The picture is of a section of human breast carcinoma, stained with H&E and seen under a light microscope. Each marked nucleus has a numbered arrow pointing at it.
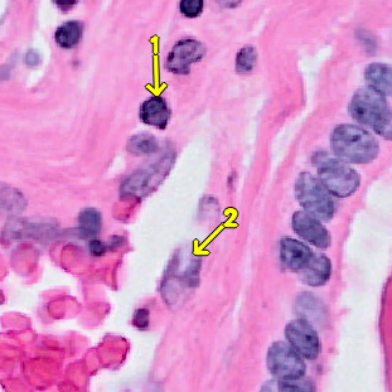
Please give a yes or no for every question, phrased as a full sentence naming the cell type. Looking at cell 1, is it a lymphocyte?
Yes, regarding cell number 1, it is a lymphocyte.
